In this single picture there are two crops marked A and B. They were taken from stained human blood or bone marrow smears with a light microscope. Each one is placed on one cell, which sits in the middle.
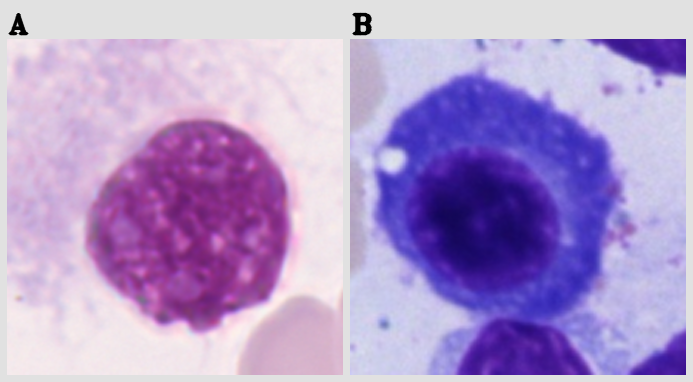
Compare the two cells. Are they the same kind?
yes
